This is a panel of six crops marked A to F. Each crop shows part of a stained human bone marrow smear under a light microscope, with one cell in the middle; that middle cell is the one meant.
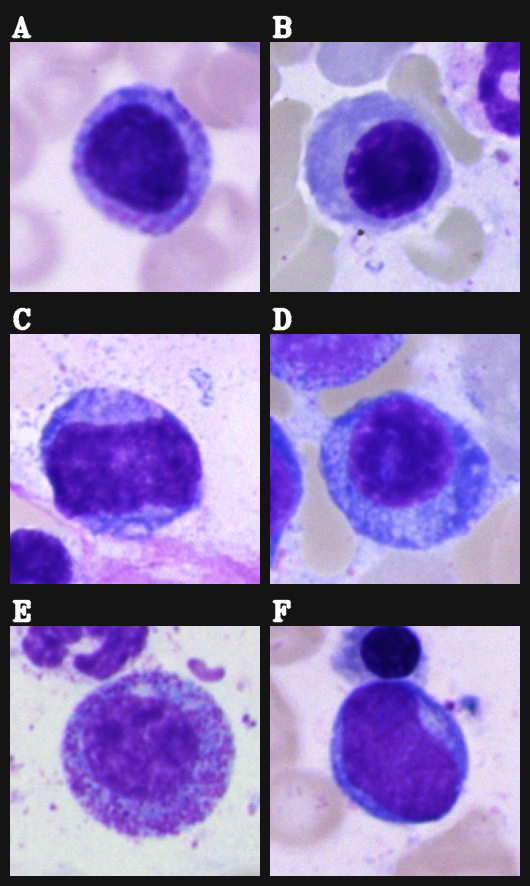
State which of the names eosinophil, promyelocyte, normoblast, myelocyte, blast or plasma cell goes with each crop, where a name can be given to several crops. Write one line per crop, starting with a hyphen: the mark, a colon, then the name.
- A: myelocyte
- B: normoblast
- C: blast
- D: plasma cell
- E: myelocyte
- F: blast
